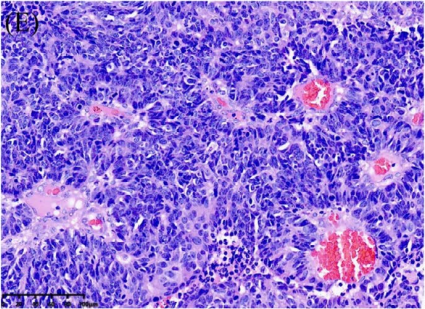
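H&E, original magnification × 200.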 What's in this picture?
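Sheet of large neoplastic cells packed densely around thin-walled blood vessels filled with red cells. Cells crowd without gland or lumen formation; small vessels with pink walls are scattered through the sheet, and tumour cells lie close around them. No normal tissue is seen in the field.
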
